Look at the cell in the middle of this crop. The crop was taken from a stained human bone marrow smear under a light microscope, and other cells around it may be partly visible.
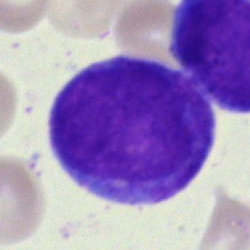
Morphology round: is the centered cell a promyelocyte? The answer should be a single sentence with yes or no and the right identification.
Yes, the cell located at the center is a promyelocyte.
